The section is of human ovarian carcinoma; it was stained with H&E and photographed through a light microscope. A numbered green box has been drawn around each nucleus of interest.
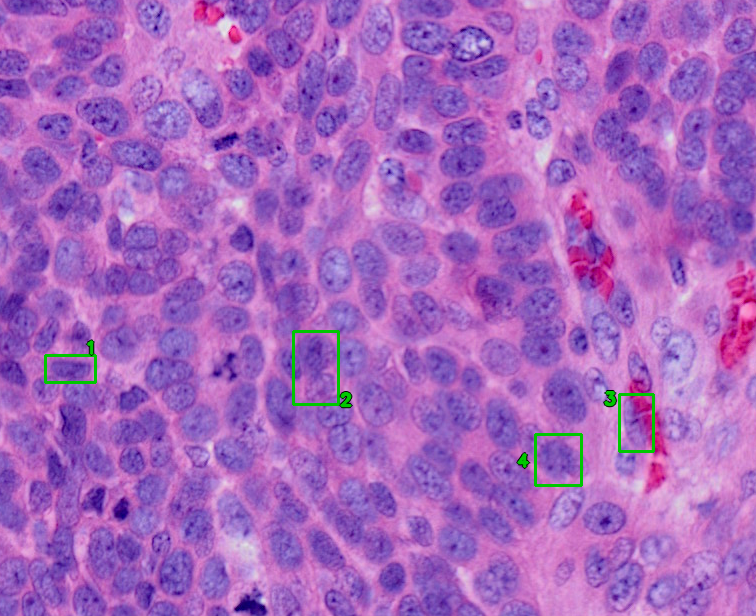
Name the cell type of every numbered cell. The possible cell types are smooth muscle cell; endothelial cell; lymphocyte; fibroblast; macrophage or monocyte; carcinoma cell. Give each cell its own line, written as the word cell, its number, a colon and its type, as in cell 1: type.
cell 1: carcinoma cell
cell 2: carcinoma cell
cell 3: endothelial cell
cell 4: carcinoma cell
